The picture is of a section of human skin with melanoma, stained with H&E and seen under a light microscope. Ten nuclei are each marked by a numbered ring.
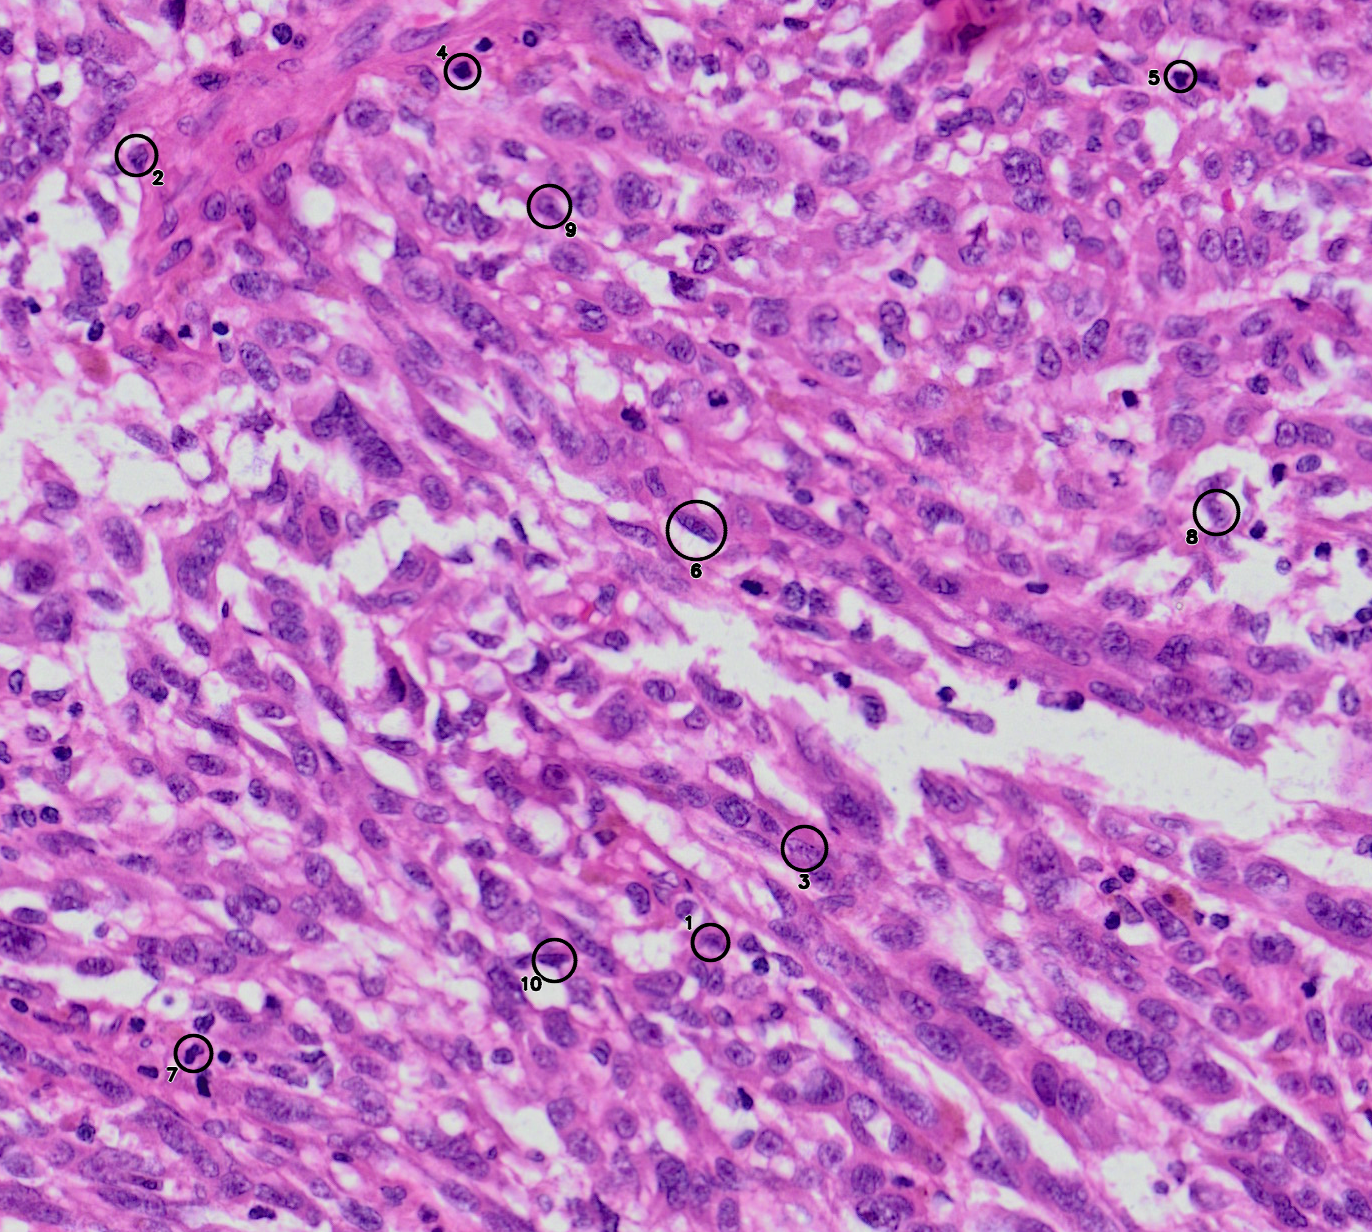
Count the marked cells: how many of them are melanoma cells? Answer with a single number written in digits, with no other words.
6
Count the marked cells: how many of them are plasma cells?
1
